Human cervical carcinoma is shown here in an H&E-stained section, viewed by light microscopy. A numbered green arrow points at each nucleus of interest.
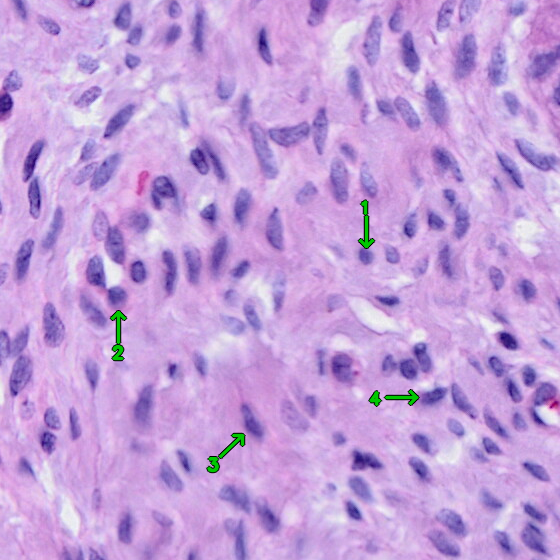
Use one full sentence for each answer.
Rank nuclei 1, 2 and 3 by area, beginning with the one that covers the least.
From smallest to largest, the order is 1, 2, 3.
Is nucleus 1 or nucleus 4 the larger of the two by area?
At about 2.5 times the area of nucleus 1, nucleus 4 is the larger of the two.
